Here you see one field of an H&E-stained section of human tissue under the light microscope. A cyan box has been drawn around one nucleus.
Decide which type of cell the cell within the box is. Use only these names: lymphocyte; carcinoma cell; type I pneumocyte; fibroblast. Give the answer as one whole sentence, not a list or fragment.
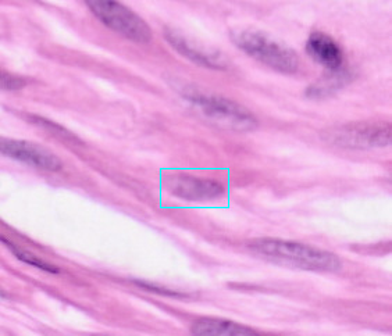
In short, the cell within the box on this section is a fibroblast.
